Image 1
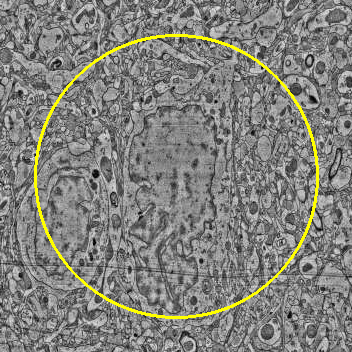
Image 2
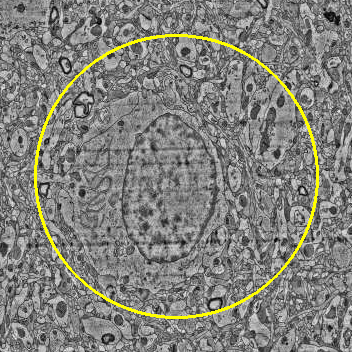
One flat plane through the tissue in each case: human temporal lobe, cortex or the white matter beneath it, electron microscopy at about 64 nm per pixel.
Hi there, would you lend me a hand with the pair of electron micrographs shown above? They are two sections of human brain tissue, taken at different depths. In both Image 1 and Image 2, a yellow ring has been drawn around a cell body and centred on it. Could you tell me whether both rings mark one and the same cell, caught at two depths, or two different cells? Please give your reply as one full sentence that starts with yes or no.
No, a single cell is not marked twice here; two cells are marked.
